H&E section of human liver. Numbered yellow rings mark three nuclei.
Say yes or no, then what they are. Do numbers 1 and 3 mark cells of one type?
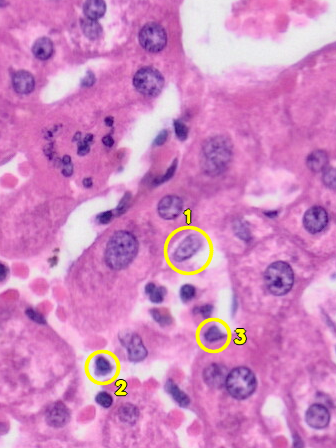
No, as to type, cell 1 is a Kupffer cell, and cell 3 is a fibroblast or stellate cell.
